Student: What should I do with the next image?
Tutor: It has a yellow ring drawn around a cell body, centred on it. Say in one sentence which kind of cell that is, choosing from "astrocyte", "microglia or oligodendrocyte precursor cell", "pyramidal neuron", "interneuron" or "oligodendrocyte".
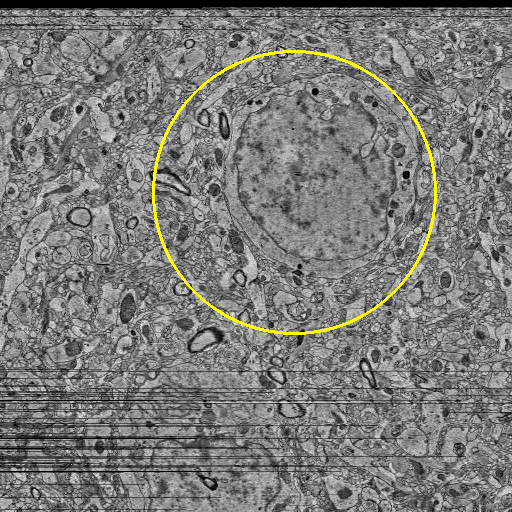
The ring's centre is occupied by an interneuron.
